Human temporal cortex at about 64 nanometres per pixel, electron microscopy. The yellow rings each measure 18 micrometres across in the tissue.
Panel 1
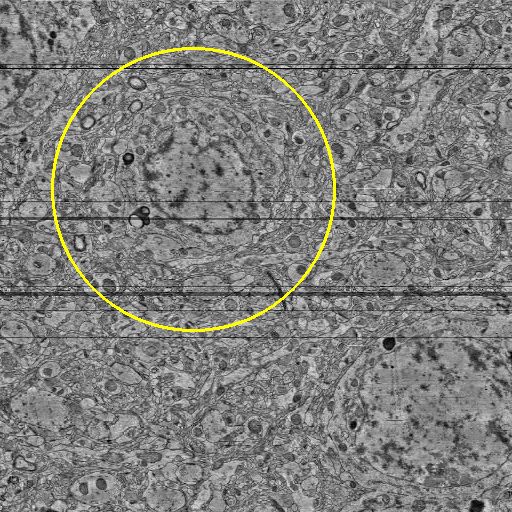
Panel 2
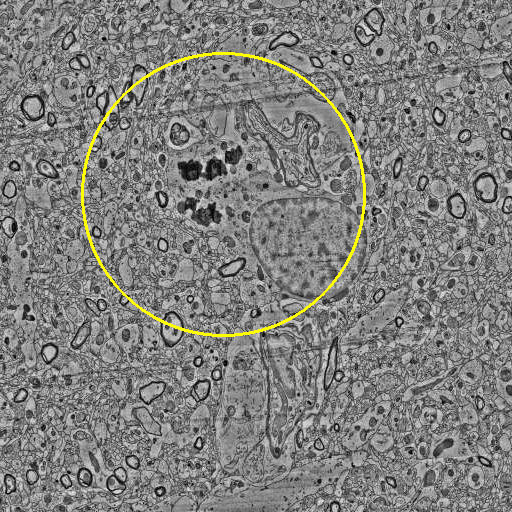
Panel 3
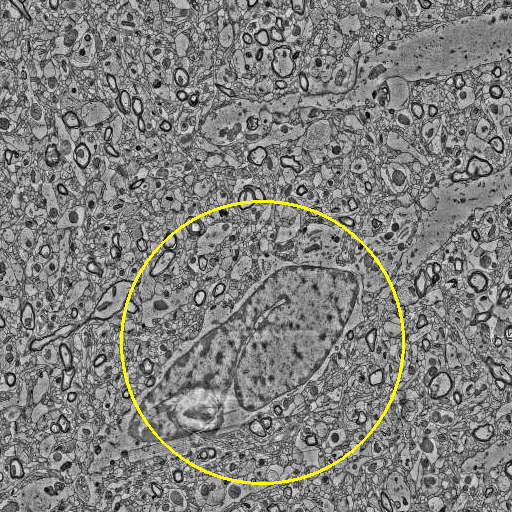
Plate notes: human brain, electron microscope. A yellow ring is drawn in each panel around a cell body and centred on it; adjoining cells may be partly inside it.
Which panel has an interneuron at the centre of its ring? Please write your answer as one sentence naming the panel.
The ring in Panel 1 is centred on such a cell.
